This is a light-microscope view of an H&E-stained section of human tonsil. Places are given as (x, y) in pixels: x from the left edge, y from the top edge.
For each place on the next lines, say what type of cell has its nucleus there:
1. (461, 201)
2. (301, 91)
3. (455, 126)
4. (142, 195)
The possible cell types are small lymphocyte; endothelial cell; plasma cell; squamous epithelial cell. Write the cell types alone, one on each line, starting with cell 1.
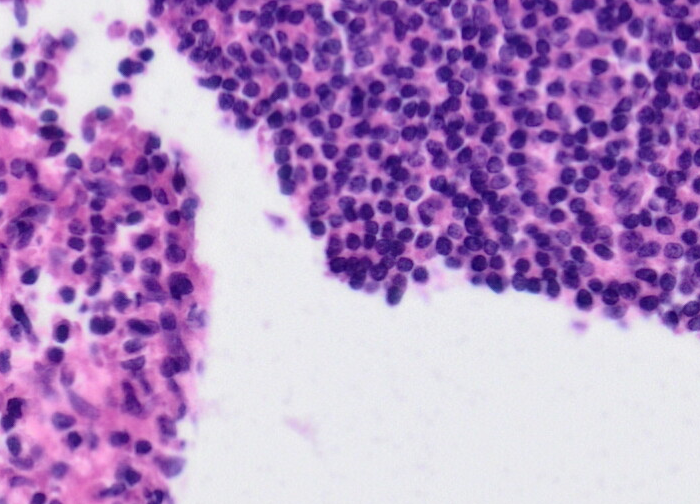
small lymphocyte
small lymphocyte
small lymphocyte
plasma cell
